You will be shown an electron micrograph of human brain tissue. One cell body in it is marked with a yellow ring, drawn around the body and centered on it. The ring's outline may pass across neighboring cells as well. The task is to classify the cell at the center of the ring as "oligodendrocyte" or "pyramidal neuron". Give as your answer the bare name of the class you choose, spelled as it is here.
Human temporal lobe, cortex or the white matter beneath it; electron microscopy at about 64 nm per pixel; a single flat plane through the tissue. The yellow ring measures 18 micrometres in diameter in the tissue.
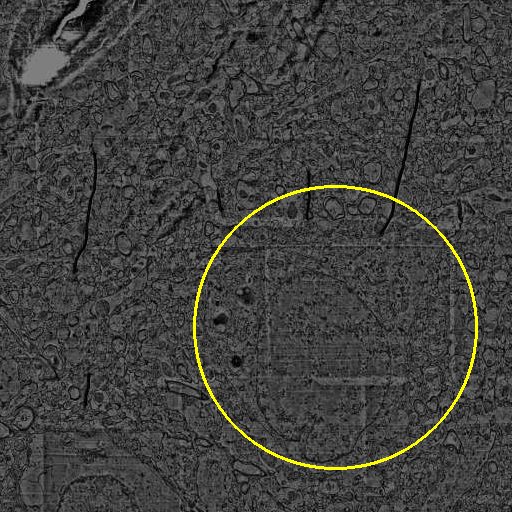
pyramidal neuron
